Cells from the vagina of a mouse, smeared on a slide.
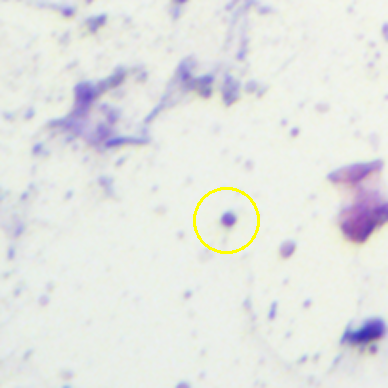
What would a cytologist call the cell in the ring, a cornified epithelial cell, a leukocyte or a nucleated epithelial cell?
A cytologist would call it a leukocyte.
